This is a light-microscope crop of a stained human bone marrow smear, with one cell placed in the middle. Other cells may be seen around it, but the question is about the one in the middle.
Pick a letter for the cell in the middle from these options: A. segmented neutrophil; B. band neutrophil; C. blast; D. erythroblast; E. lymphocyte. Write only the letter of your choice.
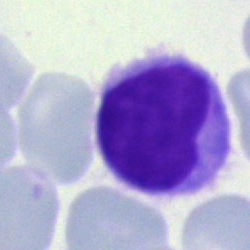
E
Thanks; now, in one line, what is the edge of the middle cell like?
The cell shows an uneven border, formed by ragged areas or by outward projections.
